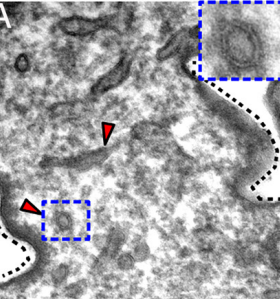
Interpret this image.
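This electron micrograph shows a narrow channel between cells, its dark membrane edges traced by black dashed lines. Within the pale, finely granular lumen lie several small, round membrane-bounded profiles. One of them, enlarged in the inset at the corner, appears as a round body with a dark membrane outline. Other short, elongated dark membrane profiles lie scattered in the surrounding cytoplasm. These small round profiles are vesicles lying within the lumen of the channel.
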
